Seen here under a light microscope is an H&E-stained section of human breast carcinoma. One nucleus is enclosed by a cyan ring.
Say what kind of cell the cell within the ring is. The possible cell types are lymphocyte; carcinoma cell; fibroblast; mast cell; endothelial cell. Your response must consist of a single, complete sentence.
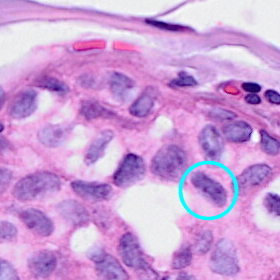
Students should answer that the cell within the ring is a carcinoma cell.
